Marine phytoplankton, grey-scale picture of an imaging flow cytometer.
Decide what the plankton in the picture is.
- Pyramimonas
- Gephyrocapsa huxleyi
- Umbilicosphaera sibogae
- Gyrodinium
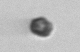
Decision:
Gephyrocapsa huxleyi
